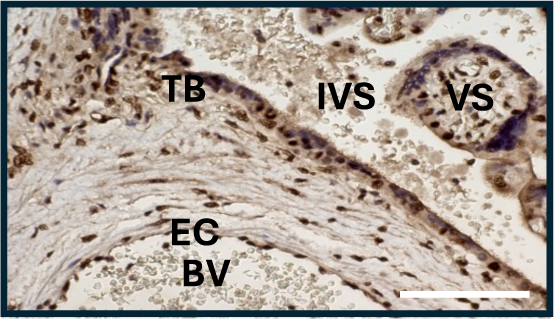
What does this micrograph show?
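Edge of a large stem villus beside intervillous space and smaller villi. A trophoblast layer runs diagonally along the villous surface, its cells with brown-stained nuclei. Below it the stroma and vessel wall consist of layered spindle-shaped cells with elongated nuclei, many brown, aligned parallel to the surface. Intervillous space above contains scattered red blood cells.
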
